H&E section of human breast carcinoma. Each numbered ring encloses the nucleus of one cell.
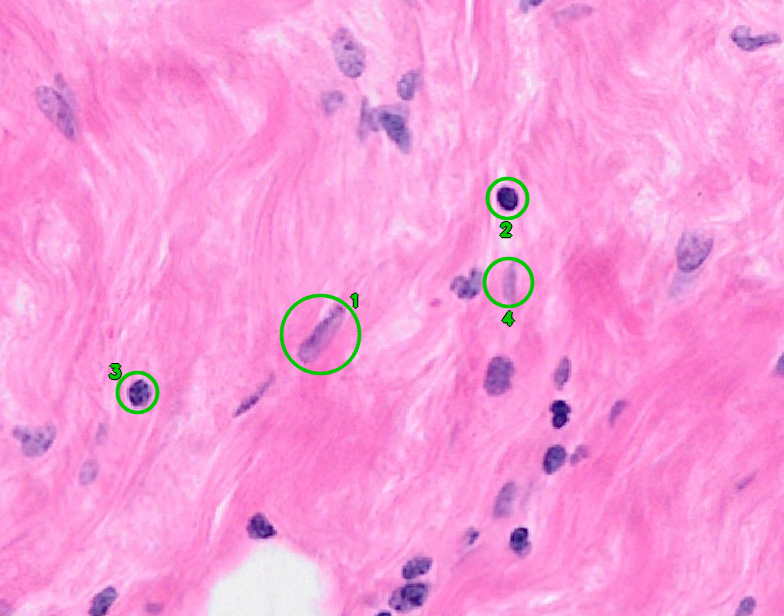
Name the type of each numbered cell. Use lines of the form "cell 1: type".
cell 1: fibroblast
cell 2: lymphocyte
cell 3: lymphocyte
cell 4: fibroblast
